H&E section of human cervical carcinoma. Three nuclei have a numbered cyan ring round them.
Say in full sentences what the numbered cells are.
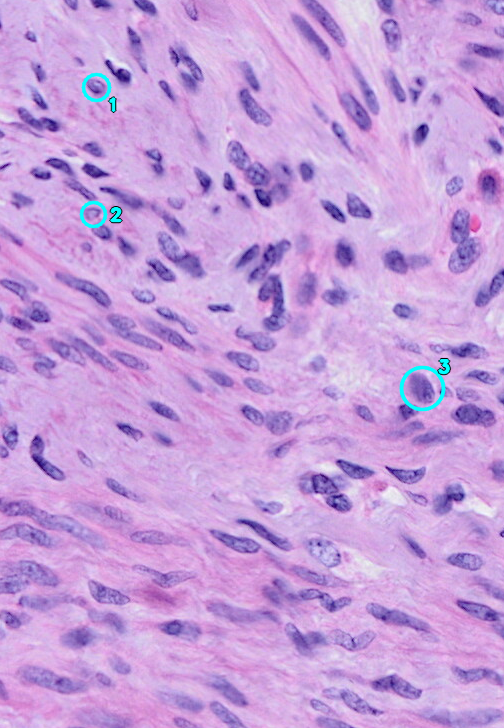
Cell 1 is a smooth muscle cell, cell 2 is a smooth muscle cell and cell 3 is a fibroblast.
